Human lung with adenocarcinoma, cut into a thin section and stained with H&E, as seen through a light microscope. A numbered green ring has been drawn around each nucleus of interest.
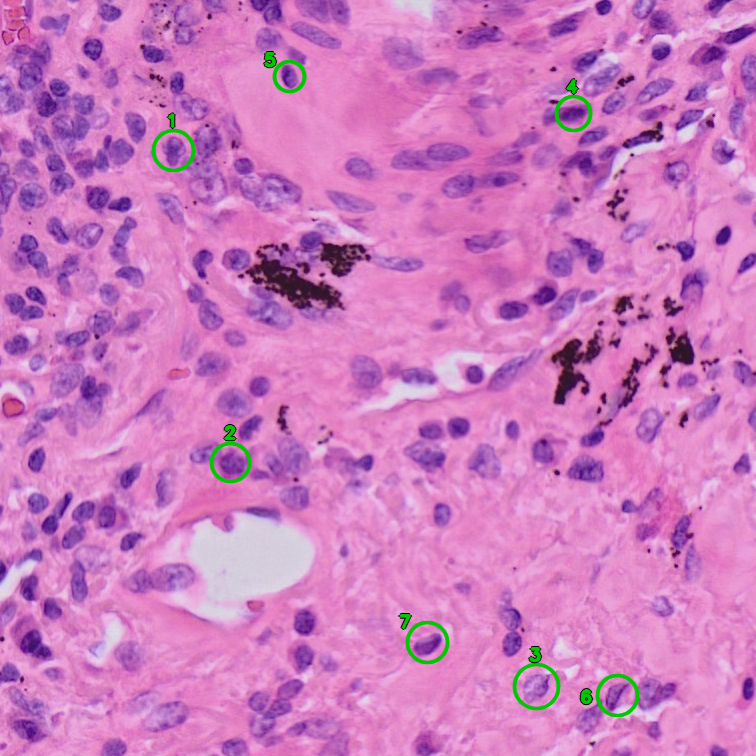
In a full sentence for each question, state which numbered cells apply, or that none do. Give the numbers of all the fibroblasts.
Cells 3, 6 and 7 share one type; they are fibroblasts.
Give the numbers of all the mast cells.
Only the cell numbered 5 is a mast cell; none of the others is.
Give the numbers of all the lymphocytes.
Cell 1 stands alone among the numbered cells as a lymphocyte.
